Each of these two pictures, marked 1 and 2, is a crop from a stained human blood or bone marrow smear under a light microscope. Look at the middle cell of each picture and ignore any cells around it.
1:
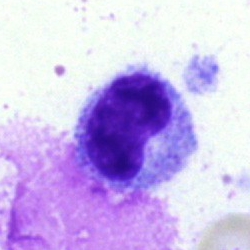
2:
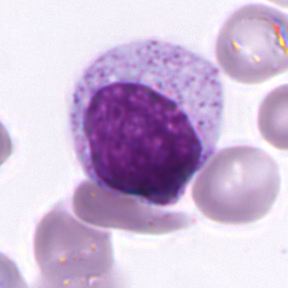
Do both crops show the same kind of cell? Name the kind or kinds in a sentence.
No, in crop 1 the cell is a metamyelocyte, and in crop 2 it is a myelocyte.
